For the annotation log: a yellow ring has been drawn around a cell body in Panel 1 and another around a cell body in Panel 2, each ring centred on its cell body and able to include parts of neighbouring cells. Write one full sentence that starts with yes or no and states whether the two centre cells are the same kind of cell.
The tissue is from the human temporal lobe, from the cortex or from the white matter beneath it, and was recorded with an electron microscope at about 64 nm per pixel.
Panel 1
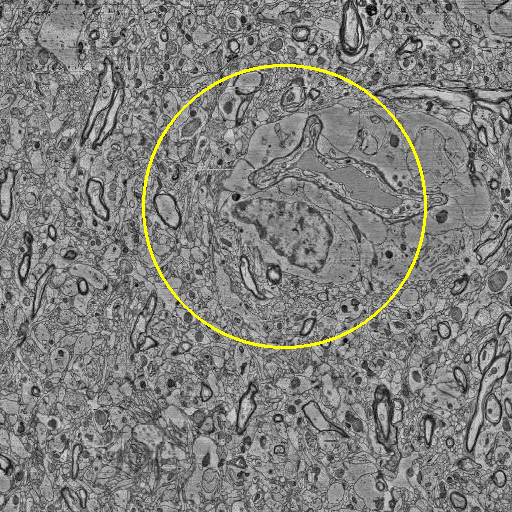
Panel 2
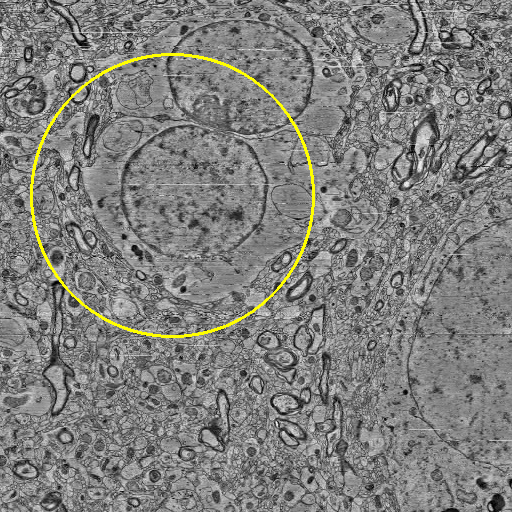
No, the two centre cells are two kinds of cell.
